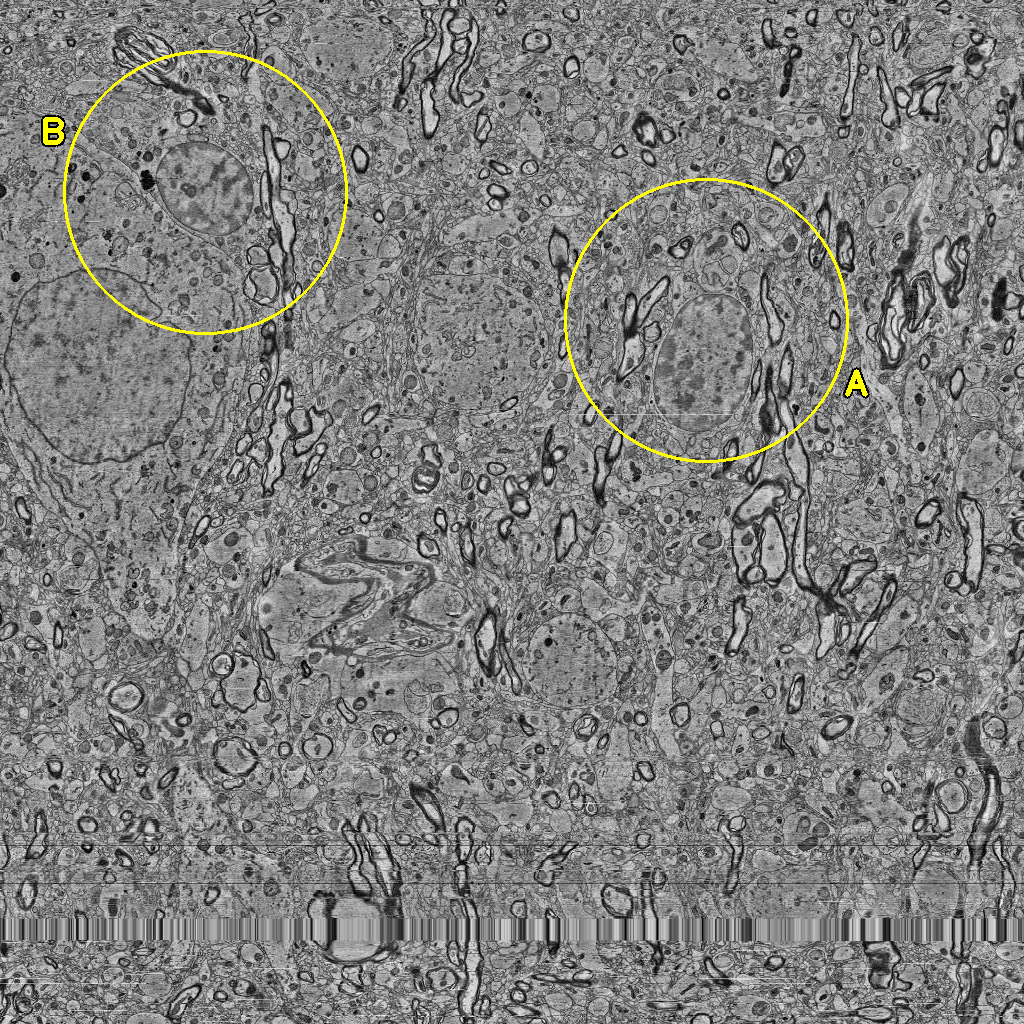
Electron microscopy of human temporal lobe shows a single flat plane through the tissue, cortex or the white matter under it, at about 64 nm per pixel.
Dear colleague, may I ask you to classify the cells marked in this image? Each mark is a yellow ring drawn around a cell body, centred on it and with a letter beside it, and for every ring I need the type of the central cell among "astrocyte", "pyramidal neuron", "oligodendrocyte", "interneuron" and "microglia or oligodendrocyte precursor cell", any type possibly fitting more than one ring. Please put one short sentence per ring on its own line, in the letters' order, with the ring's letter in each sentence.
Ring A contains a microglial cell or oligodendrocyte precursor cell at its centre.
Ring B contains an oligodendrocyte at its centre.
